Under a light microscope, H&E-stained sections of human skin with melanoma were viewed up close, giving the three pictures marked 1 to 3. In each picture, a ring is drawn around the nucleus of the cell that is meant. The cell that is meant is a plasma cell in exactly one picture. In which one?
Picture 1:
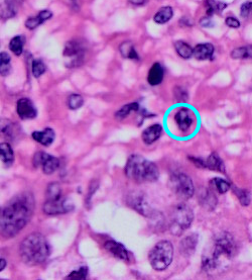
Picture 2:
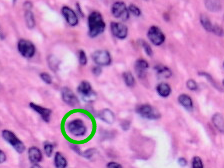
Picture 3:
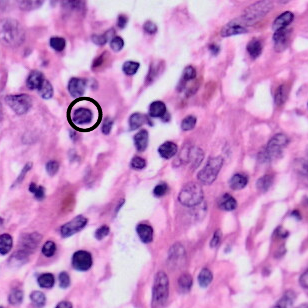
1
